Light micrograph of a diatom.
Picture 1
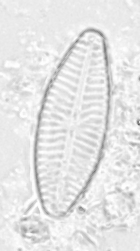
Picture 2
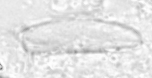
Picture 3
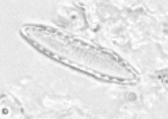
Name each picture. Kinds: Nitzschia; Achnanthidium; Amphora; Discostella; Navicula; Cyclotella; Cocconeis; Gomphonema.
Picture 1: Navicula
Picture 2: Achnanthidium
Picture 3: Nitzschia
